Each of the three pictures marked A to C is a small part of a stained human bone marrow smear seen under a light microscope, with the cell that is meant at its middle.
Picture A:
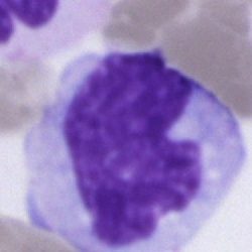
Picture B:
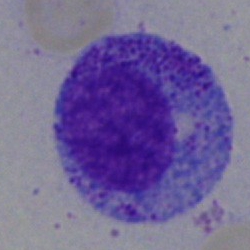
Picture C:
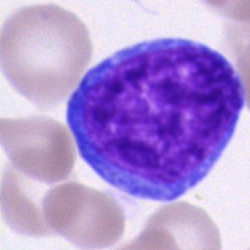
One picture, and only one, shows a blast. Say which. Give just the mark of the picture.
C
